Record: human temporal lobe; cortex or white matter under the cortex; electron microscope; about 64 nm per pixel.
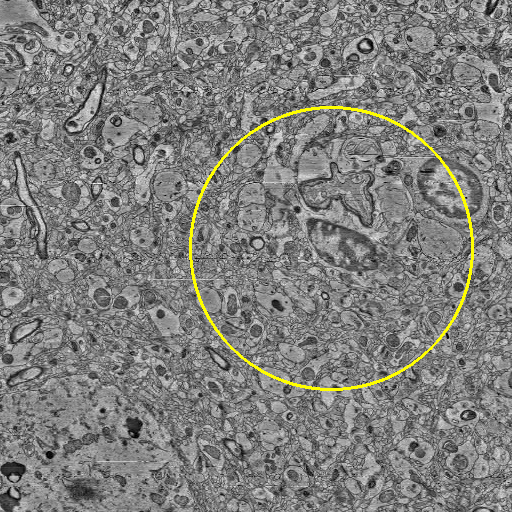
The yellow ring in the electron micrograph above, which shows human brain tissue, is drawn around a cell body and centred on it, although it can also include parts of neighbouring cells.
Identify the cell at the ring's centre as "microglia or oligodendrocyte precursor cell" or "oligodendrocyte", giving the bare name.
microglia or oligodendrocyte precursor cell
